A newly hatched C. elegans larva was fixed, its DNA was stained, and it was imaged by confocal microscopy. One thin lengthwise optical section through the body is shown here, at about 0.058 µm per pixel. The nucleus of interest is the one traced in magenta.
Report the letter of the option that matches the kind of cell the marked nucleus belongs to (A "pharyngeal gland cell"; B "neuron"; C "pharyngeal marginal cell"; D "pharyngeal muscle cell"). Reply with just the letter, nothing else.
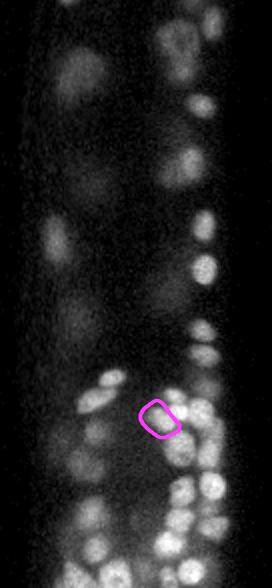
D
